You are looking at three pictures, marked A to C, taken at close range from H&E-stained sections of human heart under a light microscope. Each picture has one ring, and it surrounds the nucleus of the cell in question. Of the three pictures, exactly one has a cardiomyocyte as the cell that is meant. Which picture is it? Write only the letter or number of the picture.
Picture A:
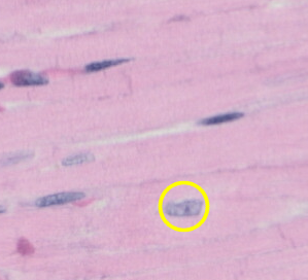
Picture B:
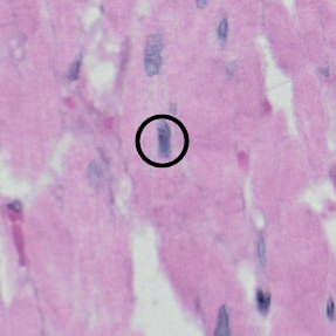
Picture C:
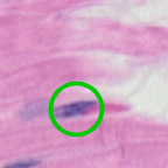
A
